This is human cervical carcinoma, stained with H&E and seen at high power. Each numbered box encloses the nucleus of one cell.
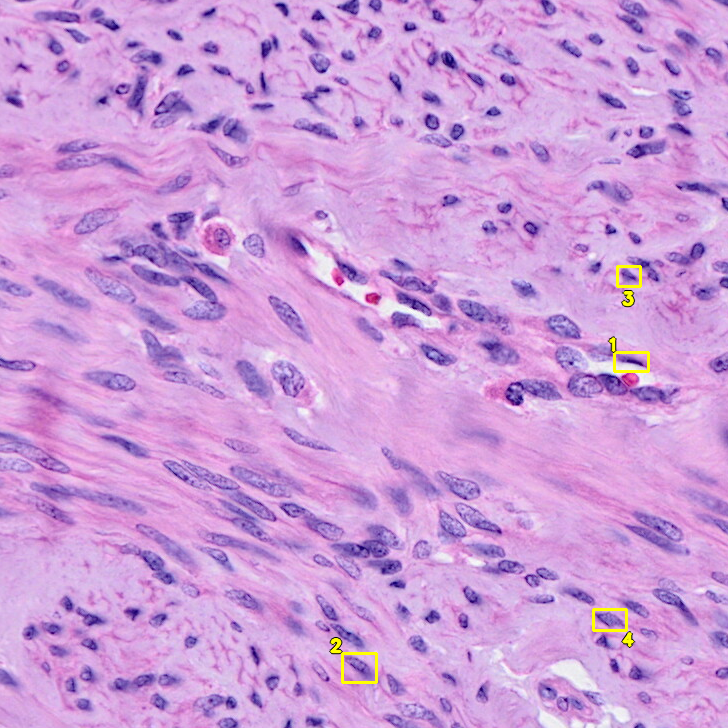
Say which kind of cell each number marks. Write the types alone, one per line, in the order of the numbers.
endothelial cell
smooth muscle cell
smooth muscle cell
smooth muscle cell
